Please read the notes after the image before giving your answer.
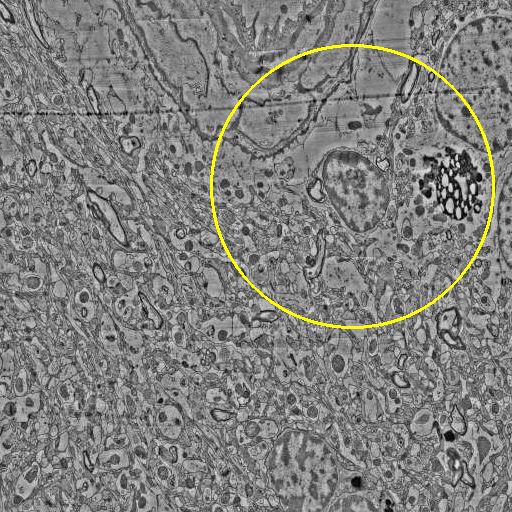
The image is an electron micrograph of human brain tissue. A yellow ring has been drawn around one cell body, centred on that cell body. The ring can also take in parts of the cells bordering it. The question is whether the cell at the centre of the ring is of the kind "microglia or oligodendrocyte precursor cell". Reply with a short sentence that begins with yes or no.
Yes, the cell at the centre is of that kind.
